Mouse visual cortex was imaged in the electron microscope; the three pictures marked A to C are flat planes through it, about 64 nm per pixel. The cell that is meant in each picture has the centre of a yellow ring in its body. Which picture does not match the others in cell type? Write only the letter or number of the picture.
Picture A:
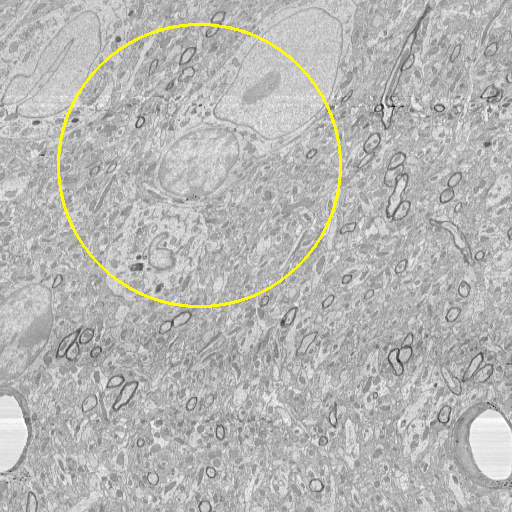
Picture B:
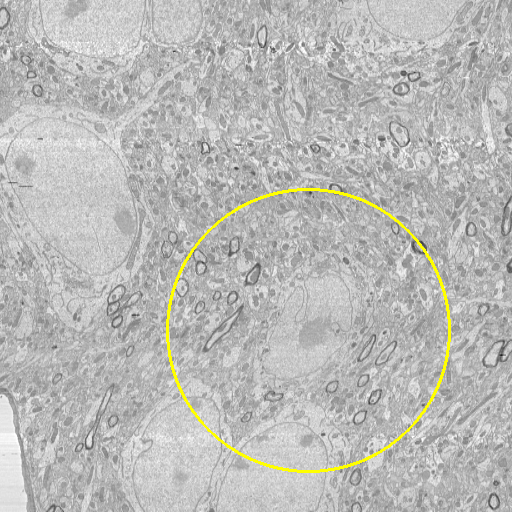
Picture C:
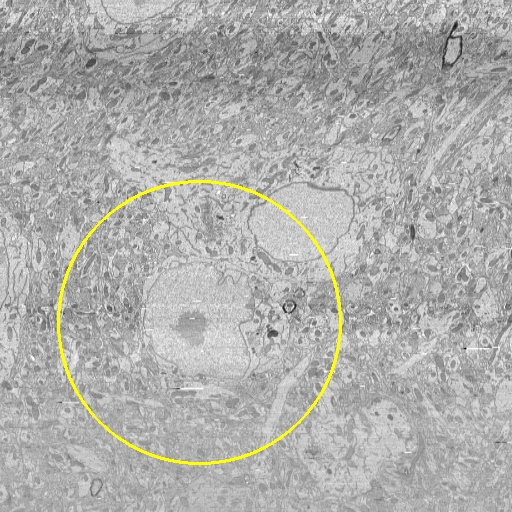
A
